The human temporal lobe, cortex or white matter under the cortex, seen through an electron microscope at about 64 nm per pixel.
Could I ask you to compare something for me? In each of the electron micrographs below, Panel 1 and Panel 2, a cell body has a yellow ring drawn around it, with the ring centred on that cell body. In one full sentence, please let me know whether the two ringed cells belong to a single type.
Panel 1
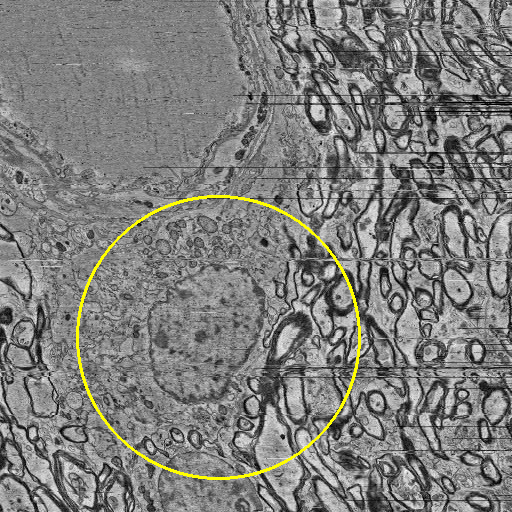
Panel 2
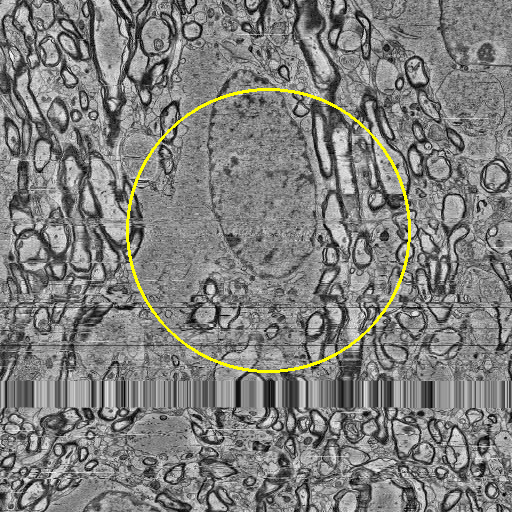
Yes, the two cells at the centres of the rings are of one type.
